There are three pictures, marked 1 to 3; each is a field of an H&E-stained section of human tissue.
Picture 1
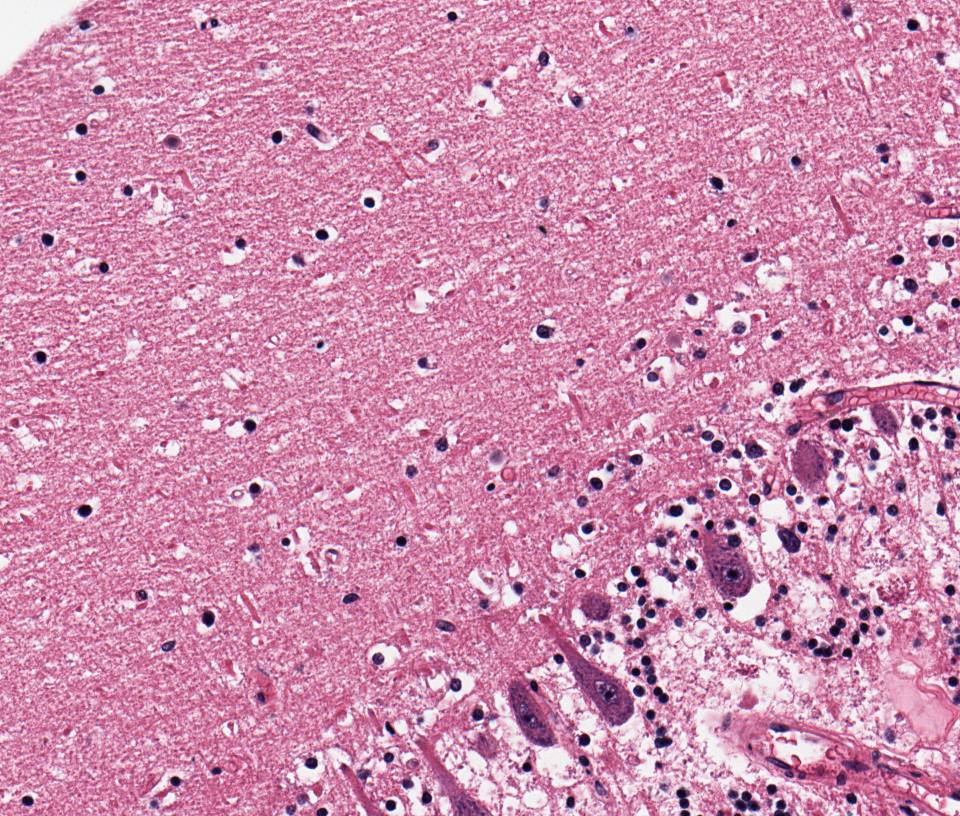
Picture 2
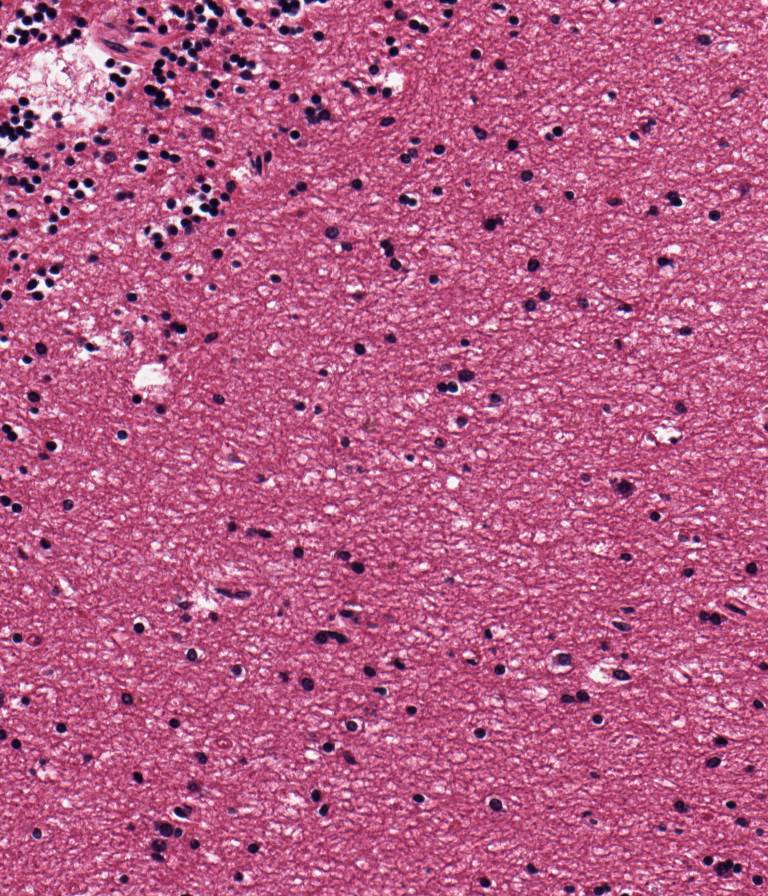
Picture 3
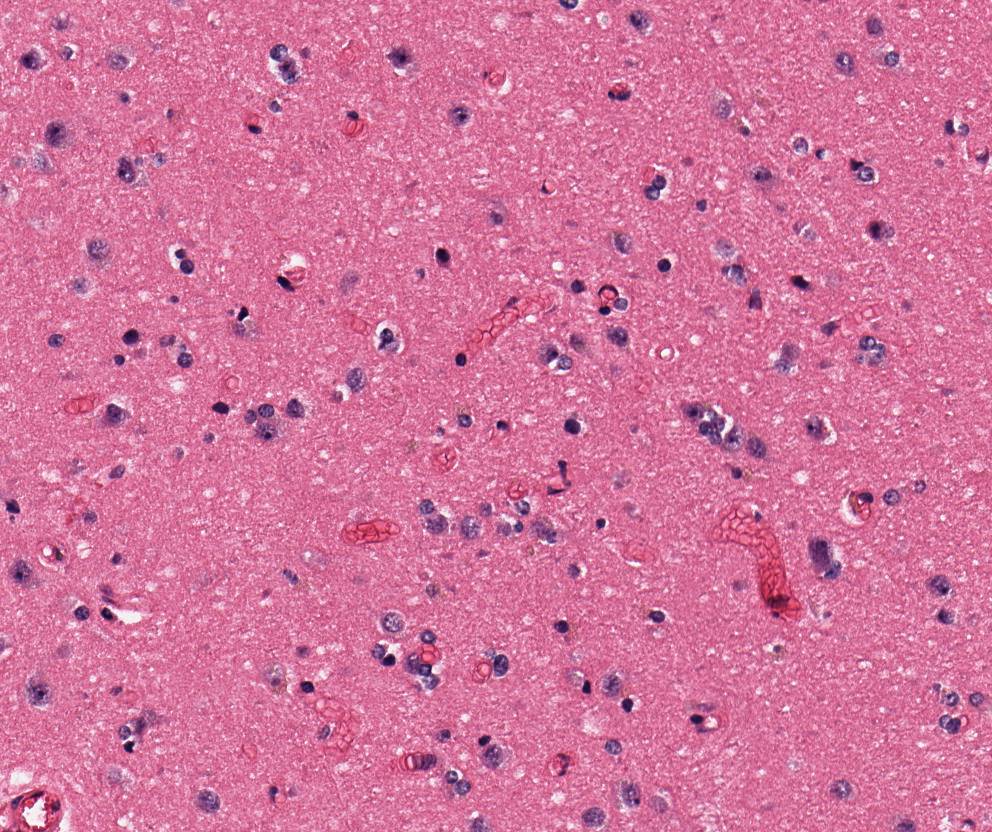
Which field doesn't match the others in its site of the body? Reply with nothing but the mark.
3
